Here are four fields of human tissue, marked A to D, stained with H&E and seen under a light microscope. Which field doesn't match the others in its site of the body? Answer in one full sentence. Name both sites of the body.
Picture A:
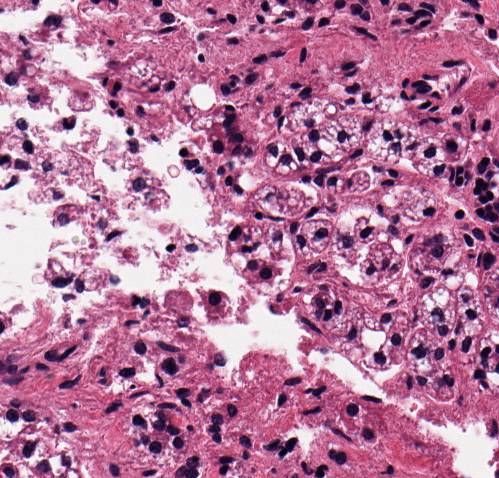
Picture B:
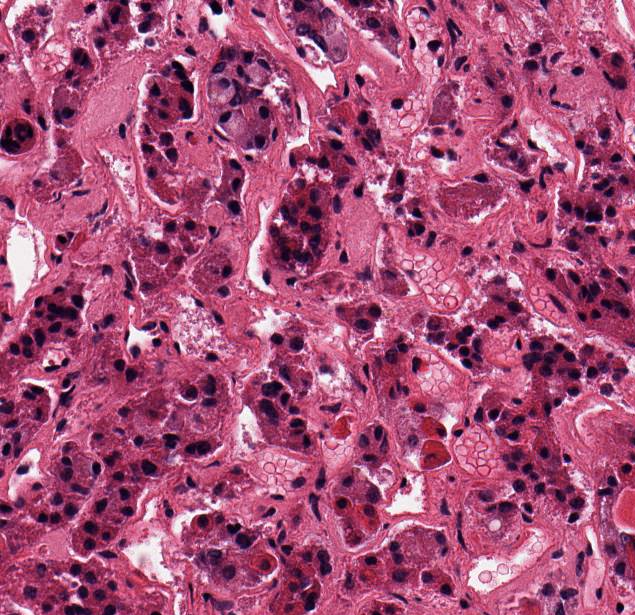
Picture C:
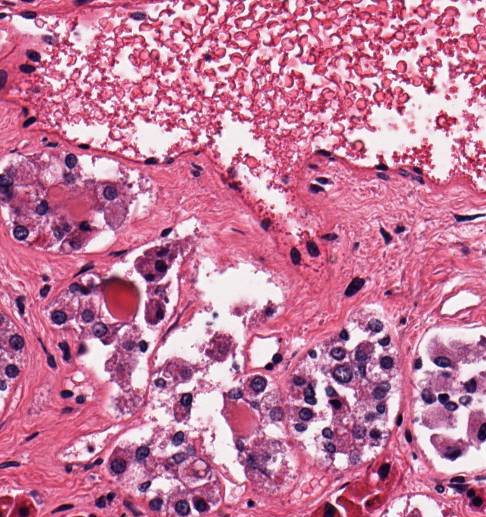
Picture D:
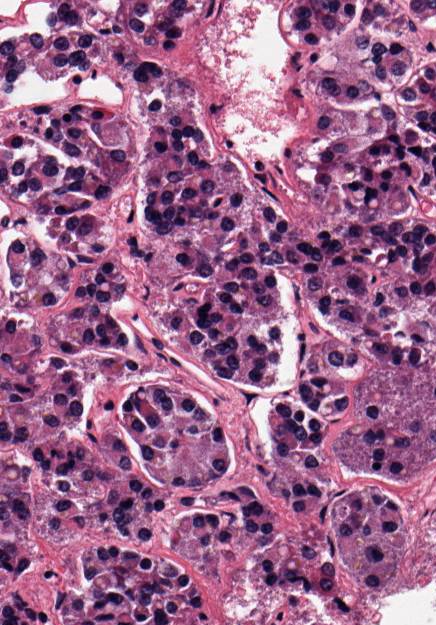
Picture A is the odd one out: it comes from the adrenal gland, while the others come from the pituitary.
